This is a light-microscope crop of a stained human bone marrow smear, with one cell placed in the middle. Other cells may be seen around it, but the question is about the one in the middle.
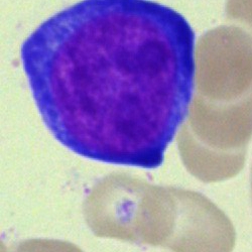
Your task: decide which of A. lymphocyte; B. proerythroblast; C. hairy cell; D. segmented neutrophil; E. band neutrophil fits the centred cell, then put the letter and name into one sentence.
In the middle of the crop is a proerythroblast; option B is therefore correct.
